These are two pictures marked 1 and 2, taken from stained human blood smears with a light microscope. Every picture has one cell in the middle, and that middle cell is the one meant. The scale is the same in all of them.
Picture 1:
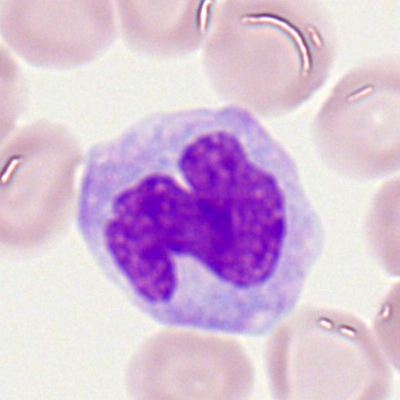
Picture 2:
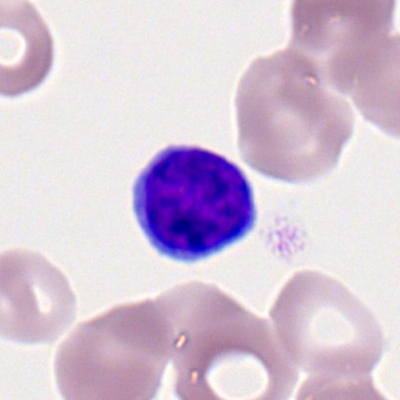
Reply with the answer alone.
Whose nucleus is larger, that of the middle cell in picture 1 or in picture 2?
1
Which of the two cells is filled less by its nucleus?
1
